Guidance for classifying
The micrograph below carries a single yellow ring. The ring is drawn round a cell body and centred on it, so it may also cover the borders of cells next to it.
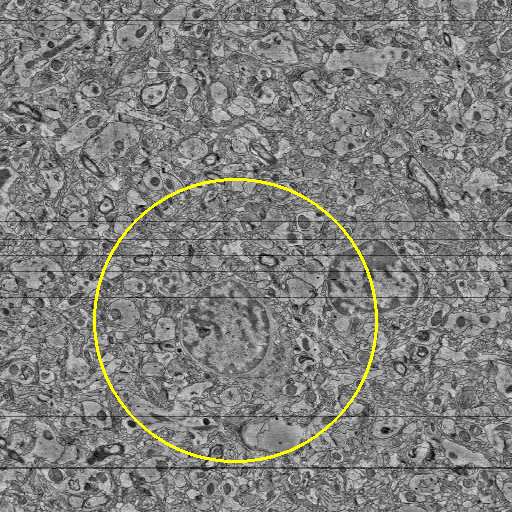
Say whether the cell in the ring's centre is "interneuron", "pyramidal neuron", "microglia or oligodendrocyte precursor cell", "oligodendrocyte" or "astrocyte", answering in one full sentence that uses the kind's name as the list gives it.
Within the yellow ring, an oligodendrocyte is the cell whose body sits at the centre.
